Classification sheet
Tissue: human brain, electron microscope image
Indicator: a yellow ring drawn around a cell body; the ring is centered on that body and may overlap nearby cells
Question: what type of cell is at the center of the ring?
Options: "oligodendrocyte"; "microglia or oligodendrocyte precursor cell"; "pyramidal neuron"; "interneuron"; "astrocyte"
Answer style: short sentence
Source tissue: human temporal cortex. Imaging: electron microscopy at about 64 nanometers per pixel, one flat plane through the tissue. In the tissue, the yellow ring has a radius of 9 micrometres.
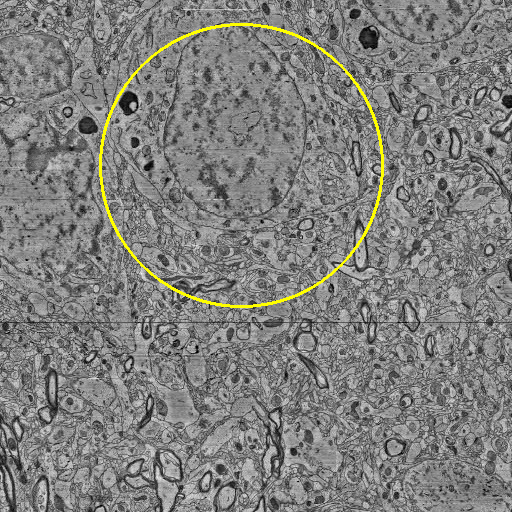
At the ring's center is a pyramidal neuron.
